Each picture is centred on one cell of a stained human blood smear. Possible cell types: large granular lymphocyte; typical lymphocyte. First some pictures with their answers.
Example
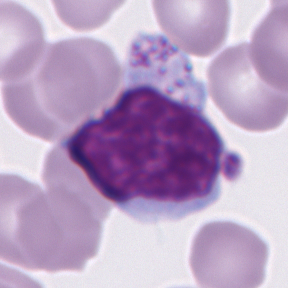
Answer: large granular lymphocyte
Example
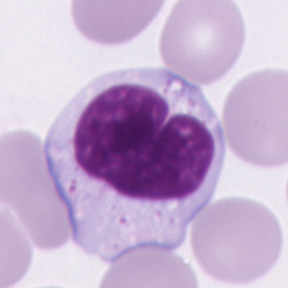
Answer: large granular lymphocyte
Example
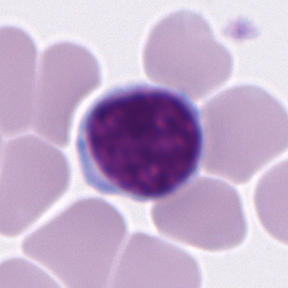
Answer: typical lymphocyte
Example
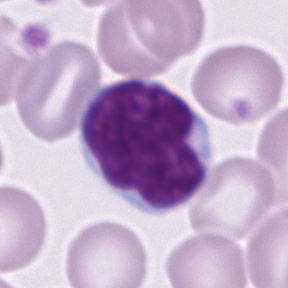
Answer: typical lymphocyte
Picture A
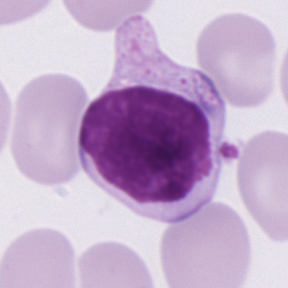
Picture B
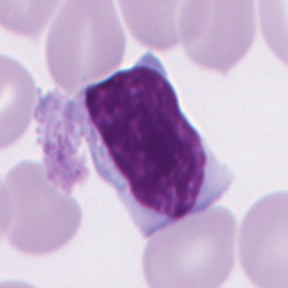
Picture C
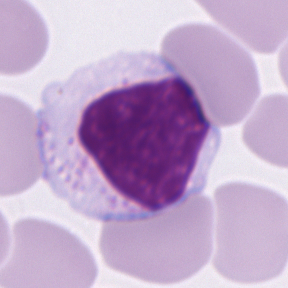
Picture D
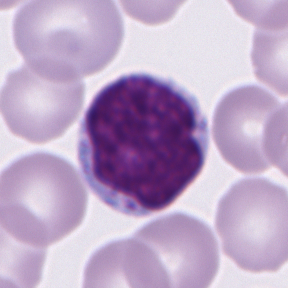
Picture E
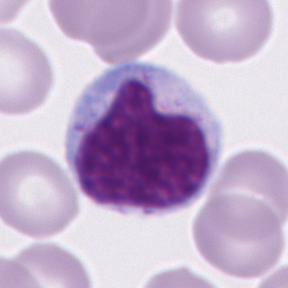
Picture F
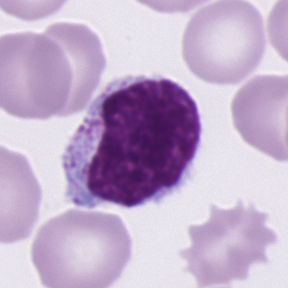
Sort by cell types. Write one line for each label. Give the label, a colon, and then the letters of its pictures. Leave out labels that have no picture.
large granular lymphocyte: A, B, C, E, F
typical lymphocyte: D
